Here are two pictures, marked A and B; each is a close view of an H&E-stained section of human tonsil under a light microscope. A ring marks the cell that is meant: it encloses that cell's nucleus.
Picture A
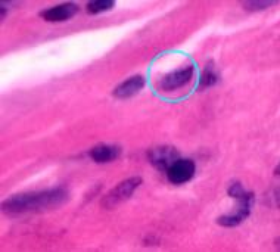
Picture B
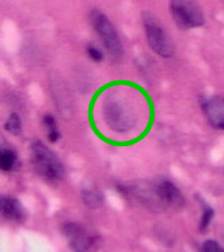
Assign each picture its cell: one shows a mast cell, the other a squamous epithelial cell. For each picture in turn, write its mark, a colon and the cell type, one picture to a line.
A: mast cell
B: squamous epithelial cell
